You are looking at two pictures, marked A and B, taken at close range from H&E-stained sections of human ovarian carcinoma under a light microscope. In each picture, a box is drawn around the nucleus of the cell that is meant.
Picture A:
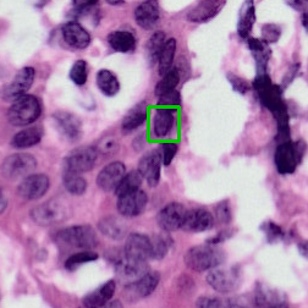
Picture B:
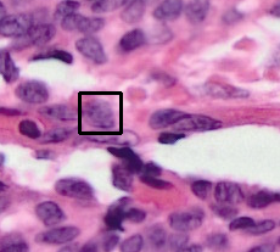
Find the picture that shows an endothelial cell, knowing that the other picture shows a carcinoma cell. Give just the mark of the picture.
B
